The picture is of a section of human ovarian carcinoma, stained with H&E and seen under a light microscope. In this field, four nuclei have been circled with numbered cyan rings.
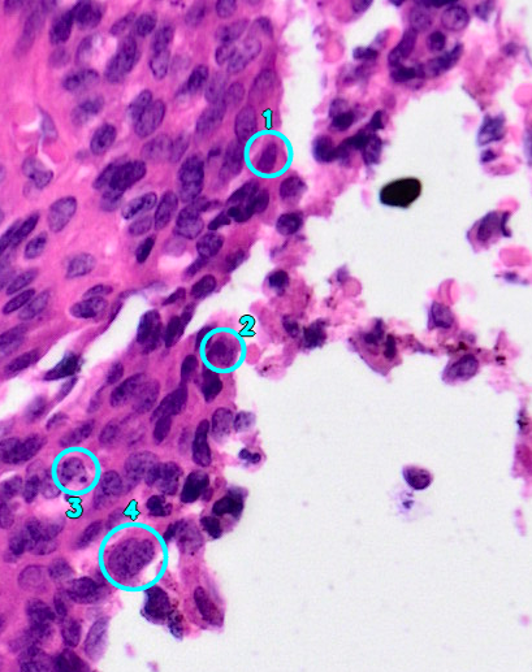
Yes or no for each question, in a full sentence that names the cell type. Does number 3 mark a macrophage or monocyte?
Yes, that is right: the cell labelled 3 is a macrophage or monocyte.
